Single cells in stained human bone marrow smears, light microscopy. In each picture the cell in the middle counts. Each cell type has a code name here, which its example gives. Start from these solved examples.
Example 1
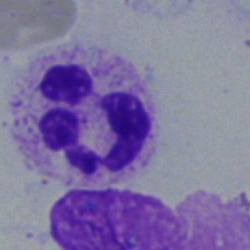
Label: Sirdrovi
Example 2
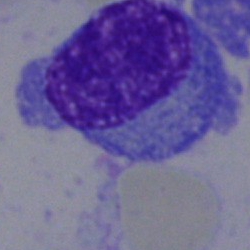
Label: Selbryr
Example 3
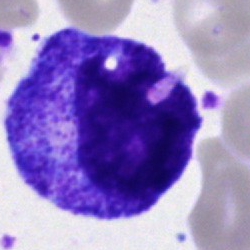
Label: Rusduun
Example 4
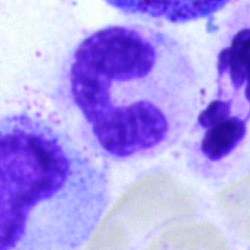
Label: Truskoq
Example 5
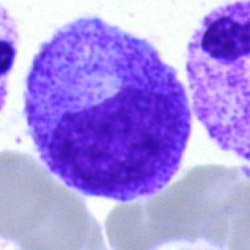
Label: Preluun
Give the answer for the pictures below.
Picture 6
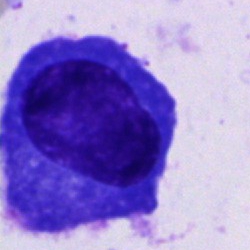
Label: Selbryr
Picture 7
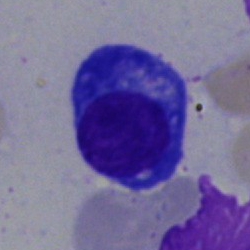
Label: Selbryr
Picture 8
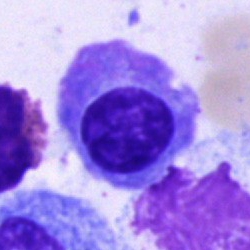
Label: Selbryr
